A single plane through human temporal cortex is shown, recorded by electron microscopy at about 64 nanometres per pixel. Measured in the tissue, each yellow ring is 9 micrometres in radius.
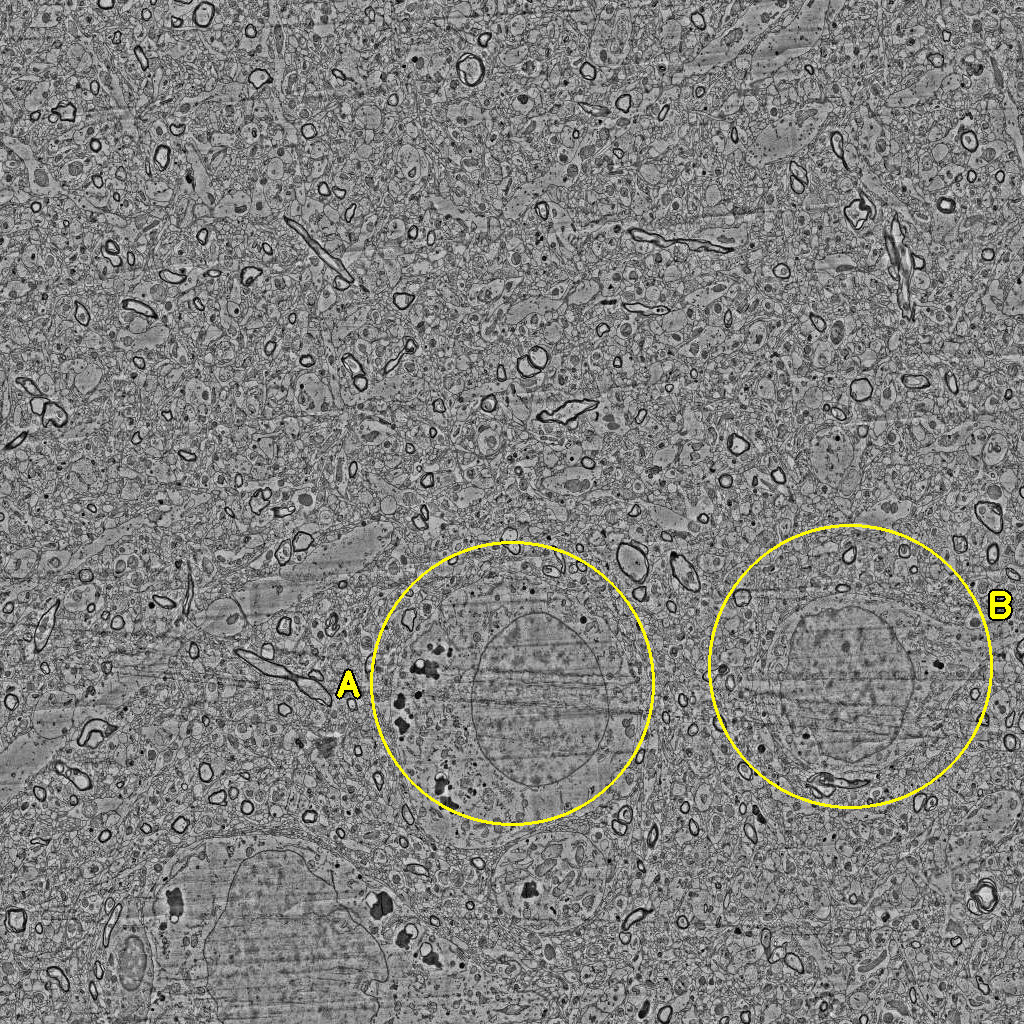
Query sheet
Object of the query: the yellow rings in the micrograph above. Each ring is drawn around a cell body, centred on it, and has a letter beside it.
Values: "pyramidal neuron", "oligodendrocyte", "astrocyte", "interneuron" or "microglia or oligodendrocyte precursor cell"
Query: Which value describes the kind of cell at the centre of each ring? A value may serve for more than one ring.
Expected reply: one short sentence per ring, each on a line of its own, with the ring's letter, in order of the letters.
I assign a pyramidal neuron to ring A.
I assign an interneuron to ring B.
